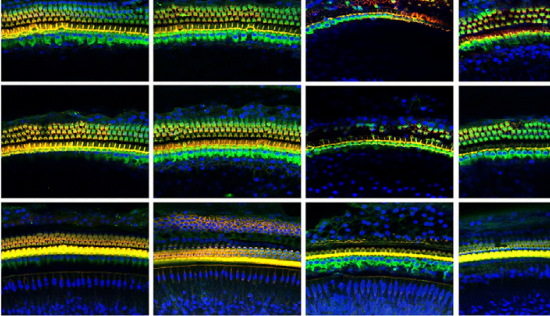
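These whole-mount views of the cochlear sensory epithelium show hair cells lined up in rows along each turn. In the intact strips, one row of hair cells runs beside three rows, with the green-stained cell bodies tightly packed and red-stained structures at their tops. Small blue nuclei of surrounding supporting cells lie in the tissue beneath and beside the rows. In some of the strips the rows are broken, with many hair cells lost, leaving gaps and scattered remaining cells.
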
